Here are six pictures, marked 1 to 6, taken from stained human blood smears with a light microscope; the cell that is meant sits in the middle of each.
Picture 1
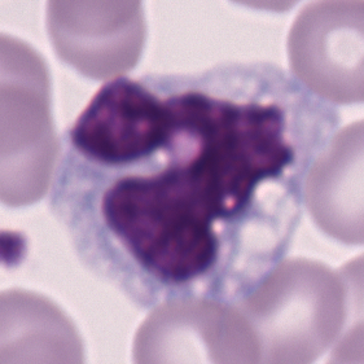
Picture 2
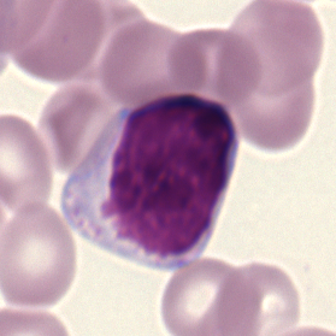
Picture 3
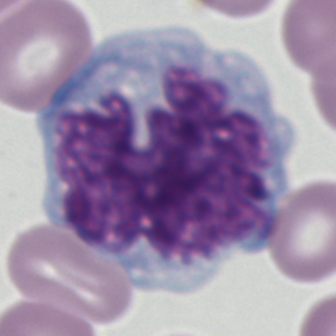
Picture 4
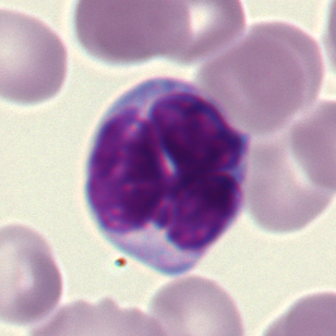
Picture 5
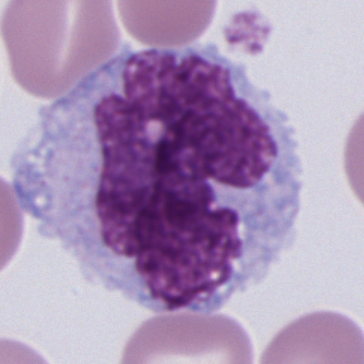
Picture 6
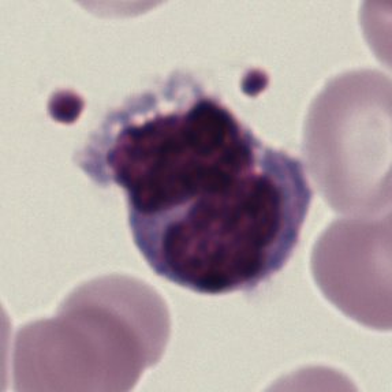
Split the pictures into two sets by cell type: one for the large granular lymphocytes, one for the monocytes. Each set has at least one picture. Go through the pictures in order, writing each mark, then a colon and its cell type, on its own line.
1: monocyte
2: large granular lymphocyte
3: monocyte
4: large granular lymphocyte
5: monocyte
6: monocyte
